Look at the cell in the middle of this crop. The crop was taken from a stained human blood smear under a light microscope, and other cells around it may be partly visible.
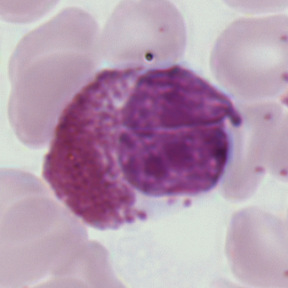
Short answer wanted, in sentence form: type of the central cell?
By type, the central cell of the crop is an eosinophil.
